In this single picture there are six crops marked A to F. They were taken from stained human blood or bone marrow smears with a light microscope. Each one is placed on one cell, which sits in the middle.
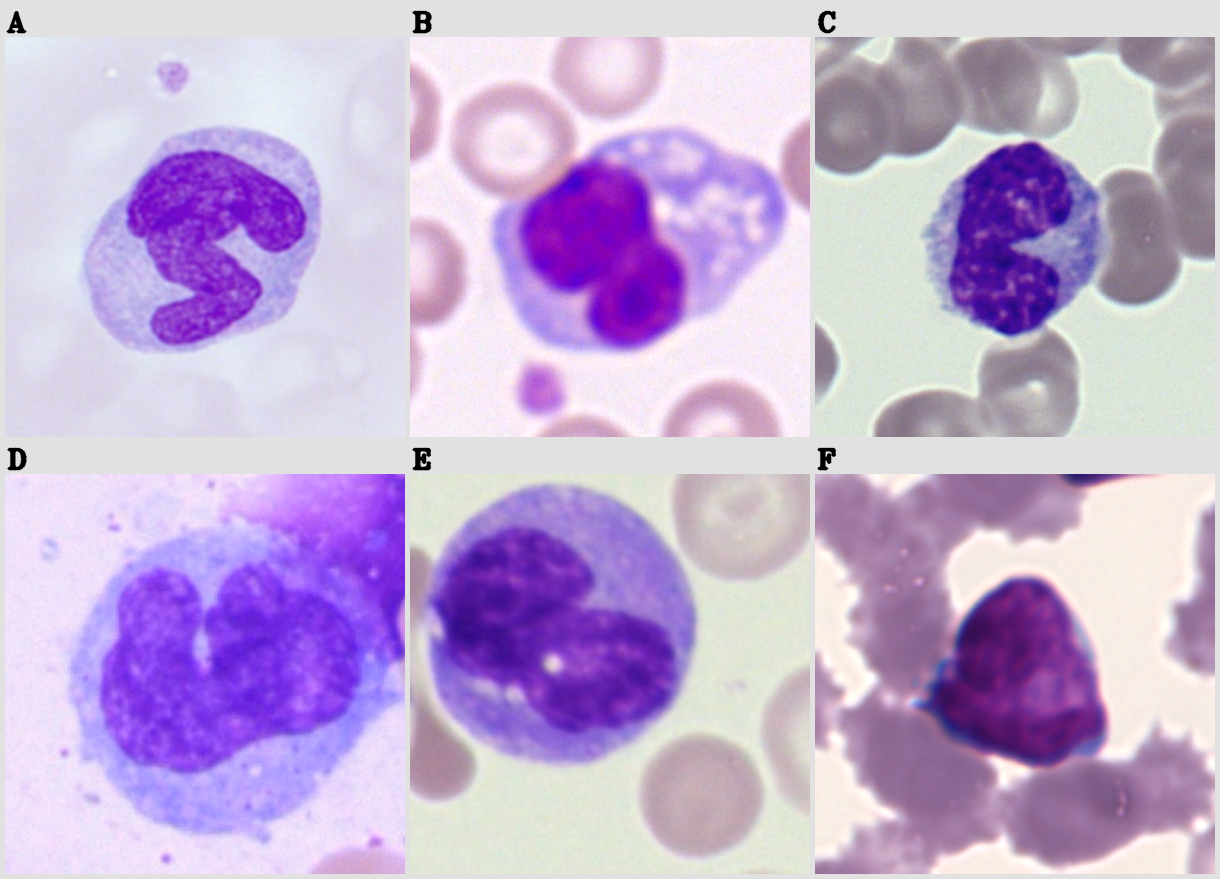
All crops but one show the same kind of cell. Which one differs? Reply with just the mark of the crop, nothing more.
F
